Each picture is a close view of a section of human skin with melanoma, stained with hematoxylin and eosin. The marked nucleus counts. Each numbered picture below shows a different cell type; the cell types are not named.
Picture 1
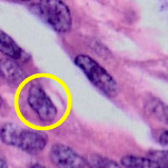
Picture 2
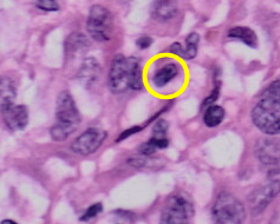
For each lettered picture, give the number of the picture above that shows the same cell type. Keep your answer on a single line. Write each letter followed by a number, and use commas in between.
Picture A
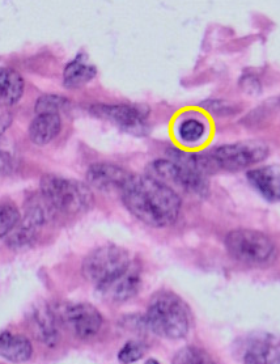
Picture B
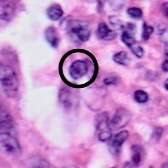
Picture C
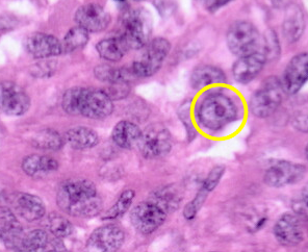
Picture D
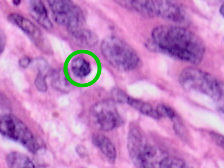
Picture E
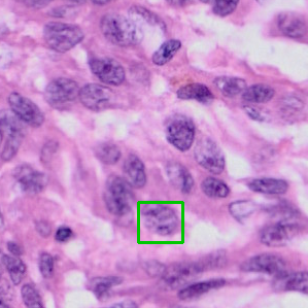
A 2, B 2, C 1, D 2, E 1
